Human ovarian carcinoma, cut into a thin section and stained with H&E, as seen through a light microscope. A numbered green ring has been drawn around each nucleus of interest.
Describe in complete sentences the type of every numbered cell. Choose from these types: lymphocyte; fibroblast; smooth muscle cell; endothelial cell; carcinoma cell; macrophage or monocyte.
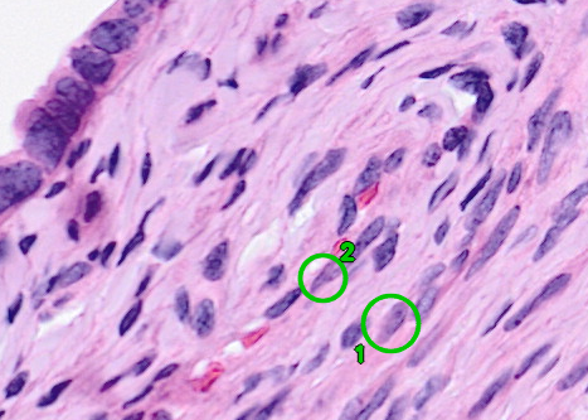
Cell 1 is a smooth muscle cell. Cell 2 is an endothelial cell.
